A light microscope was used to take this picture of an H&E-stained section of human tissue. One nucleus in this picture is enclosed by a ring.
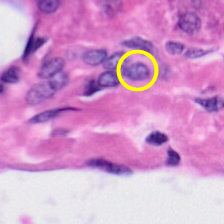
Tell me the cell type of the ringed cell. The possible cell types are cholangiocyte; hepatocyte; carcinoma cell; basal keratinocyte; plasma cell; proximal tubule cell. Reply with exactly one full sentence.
With respect to cell type, the ringed cell is a cholangiocyte.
